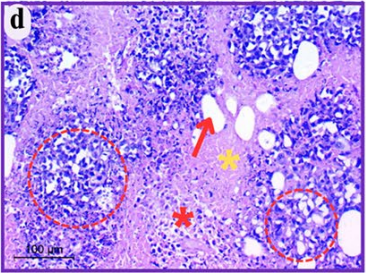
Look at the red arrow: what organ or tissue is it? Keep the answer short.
Adipose tissue.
